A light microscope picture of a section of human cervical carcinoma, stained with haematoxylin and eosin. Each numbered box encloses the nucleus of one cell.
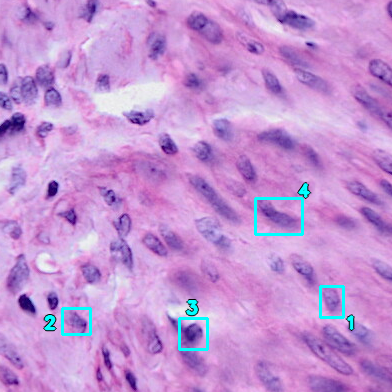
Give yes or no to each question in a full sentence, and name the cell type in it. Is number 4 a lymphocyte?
No, cell number 4 is identified as a smooth muscle cell, not as a lymphocyte.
